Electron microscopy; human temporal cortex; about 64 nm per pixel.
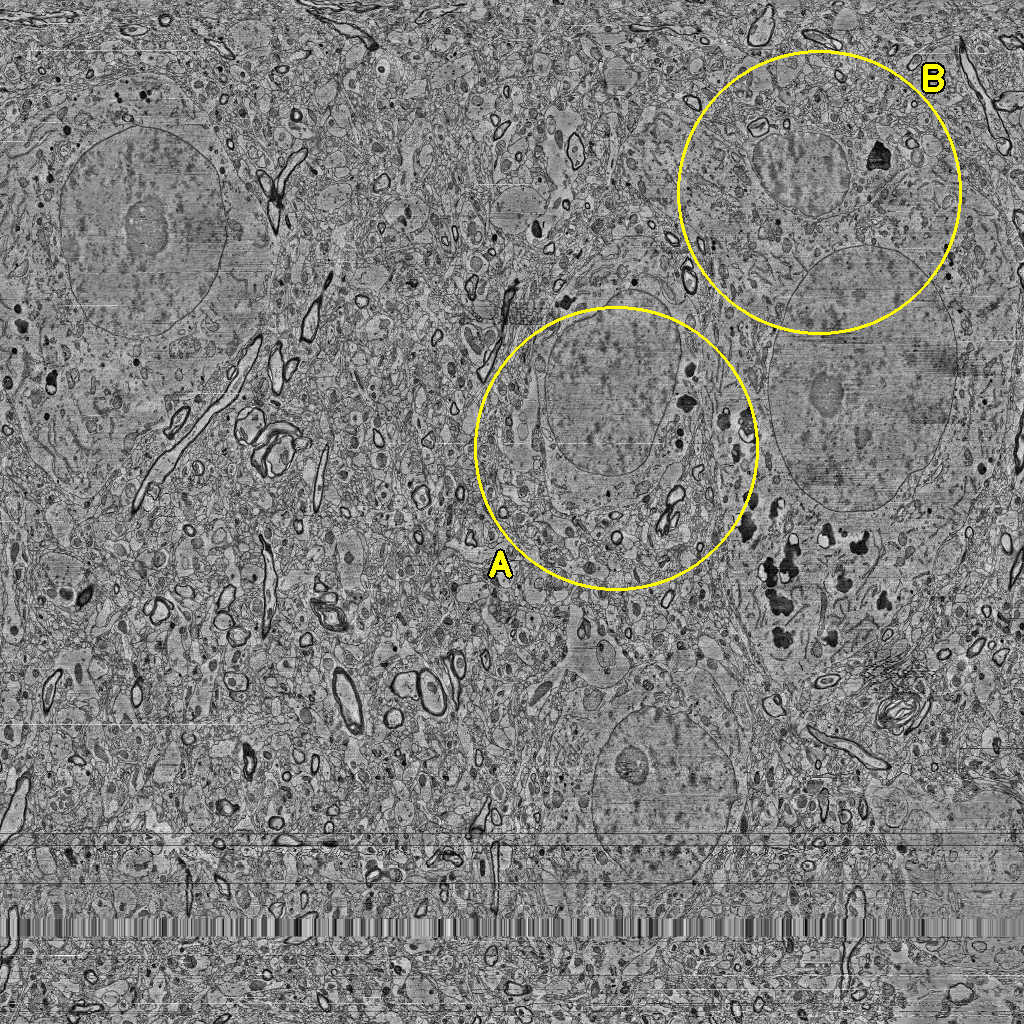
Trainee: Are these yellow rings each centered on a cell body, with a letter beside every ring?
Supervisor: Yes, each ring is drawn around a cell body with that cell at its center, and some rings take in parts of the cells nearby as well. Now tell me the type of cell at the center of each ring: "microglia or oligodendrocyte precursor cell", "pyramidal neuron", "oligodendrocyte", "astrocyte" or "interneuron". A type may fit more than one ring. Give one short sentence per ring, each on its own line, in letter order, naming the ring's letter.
Ring A has a pyramidal neuron at its center.
Ring B has an oligodendrocyte at its center.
